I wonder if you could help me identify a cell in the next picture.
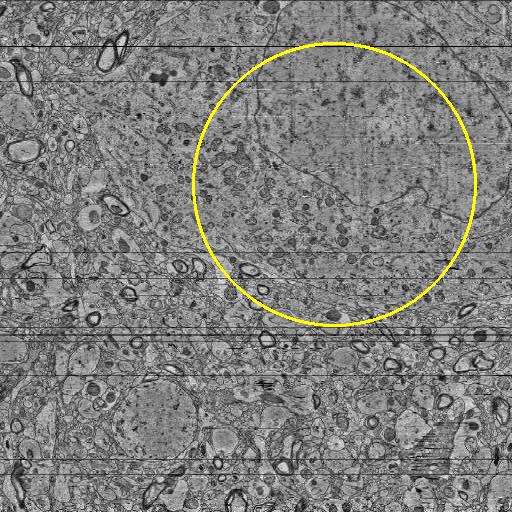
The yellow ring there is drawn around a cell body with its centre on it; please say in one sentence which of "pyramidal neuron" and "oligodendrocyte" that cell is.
The yellow ring is centred on a pyramidal neuron.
